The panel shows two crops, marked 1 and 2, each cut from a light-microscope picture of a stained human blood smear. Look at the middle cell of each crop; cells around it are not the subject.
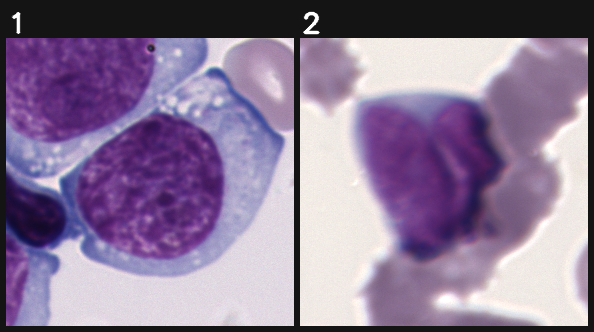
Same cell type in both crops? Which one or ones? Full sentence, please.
Yes, both crops, not just one, show myeloblasts.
